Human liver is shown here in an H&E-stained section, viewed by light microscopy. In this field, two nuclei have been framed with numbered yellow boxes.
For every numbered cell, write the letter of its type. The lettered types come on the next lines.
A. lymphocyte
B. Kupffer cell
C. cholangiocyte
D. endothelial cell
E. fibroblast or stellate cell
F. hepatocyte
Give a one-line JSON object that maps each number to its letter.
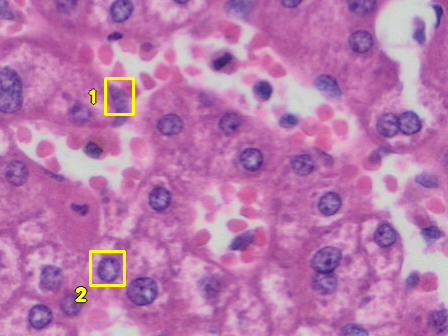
{"1": "B", "2": "F"}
